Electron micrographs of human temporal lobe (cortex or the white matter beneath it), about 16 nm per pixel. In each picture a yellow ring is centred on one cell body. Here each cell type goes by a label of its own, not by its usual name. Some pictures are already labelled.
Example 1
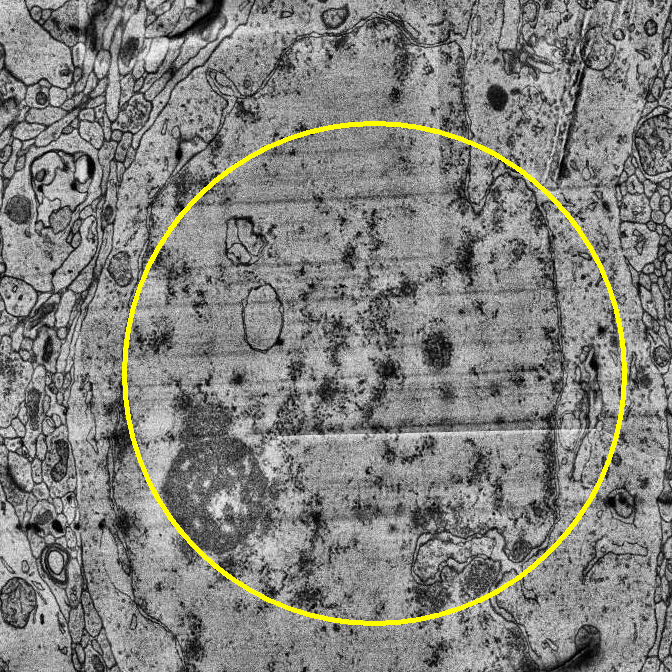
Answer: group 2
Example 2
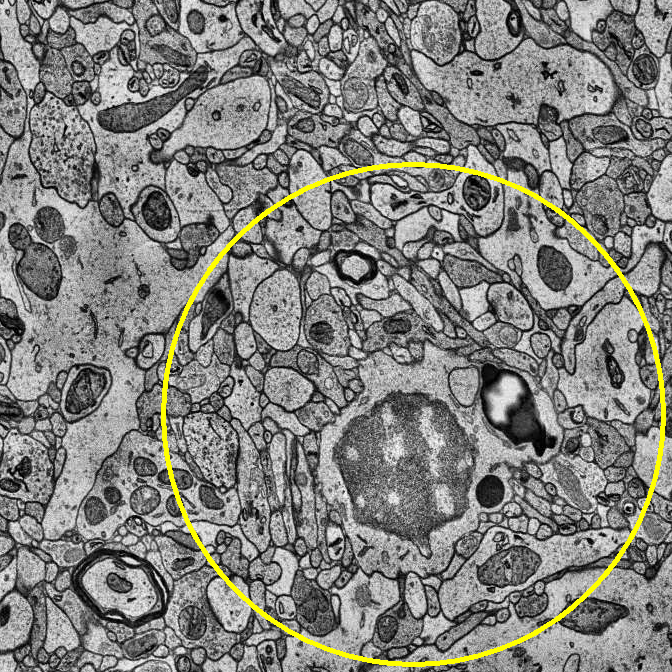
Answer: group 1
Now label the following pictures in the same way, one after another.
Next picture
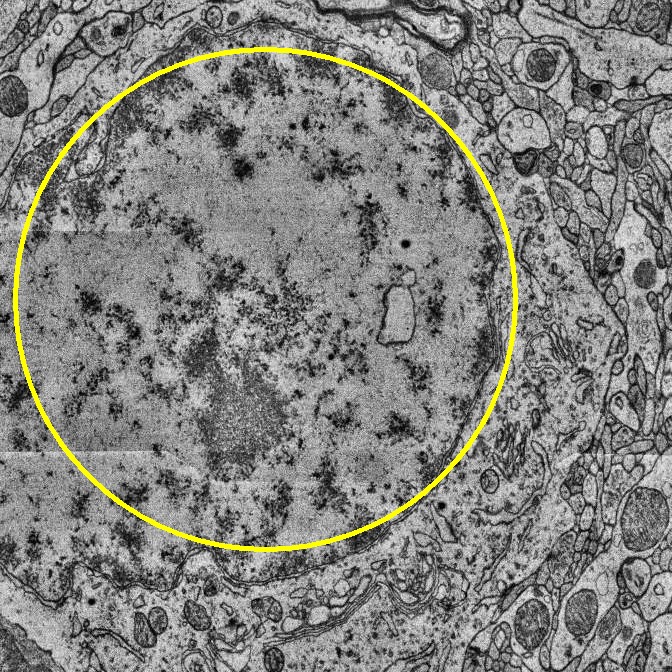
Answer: group 2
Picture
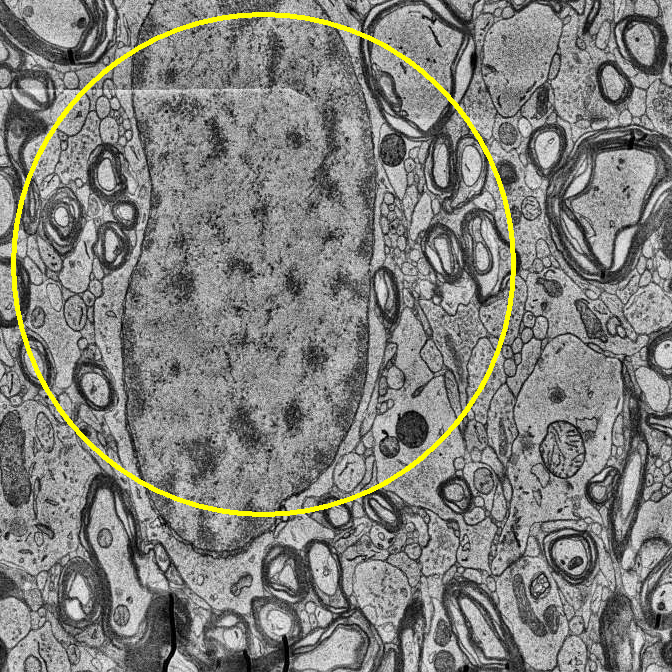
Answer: group 1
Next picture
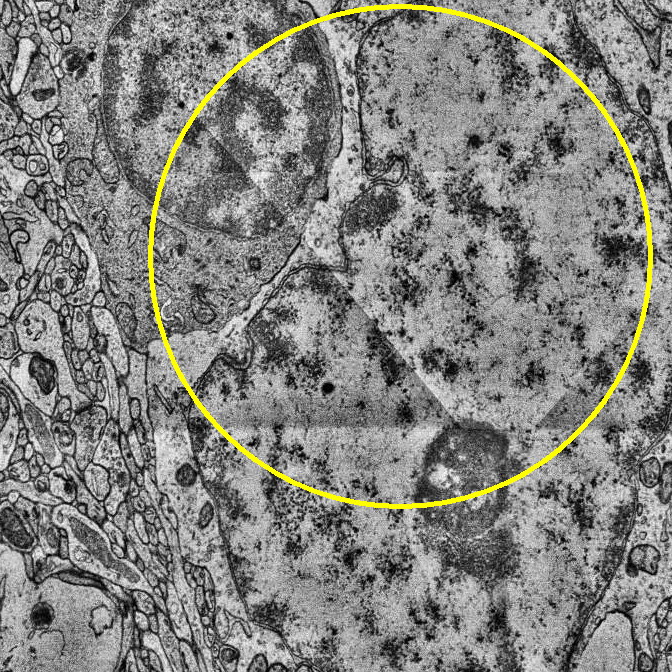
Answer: group 2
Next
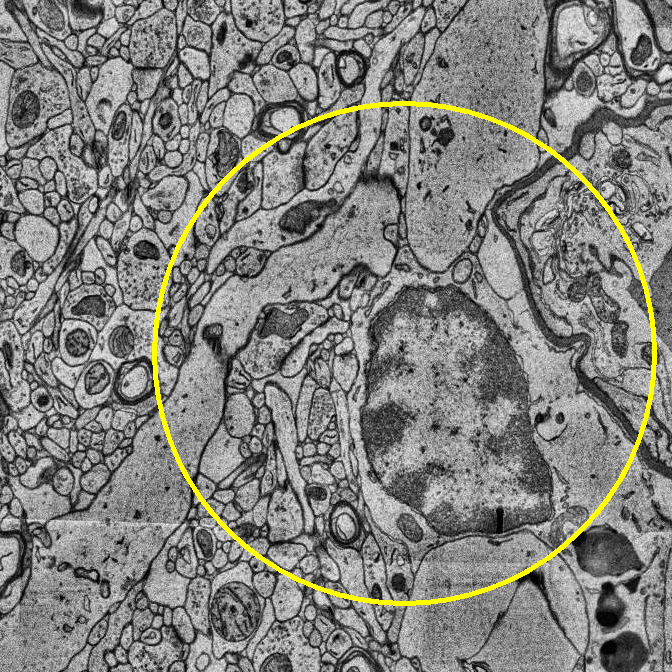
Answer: group 1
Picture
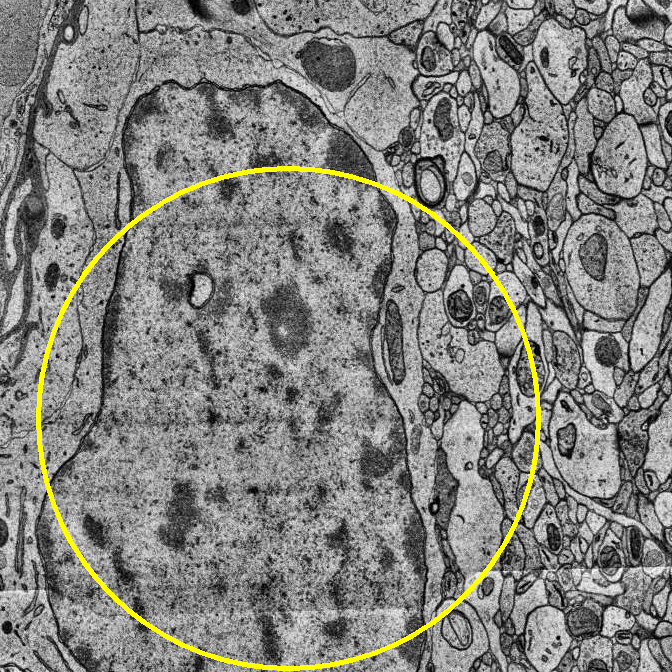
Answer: group 1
